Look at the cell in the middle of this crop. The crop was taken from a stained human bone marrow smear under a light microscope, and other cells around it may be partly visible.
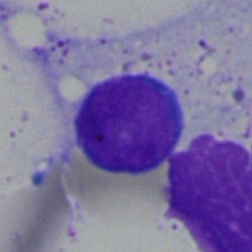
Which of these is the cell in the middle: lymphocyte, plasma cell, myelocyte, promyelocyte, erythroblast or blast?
lymphocyte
